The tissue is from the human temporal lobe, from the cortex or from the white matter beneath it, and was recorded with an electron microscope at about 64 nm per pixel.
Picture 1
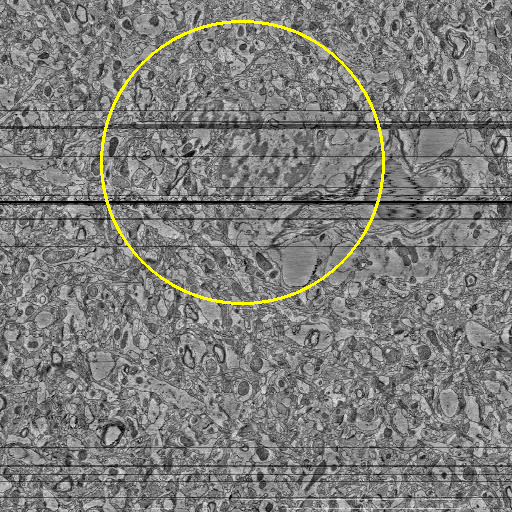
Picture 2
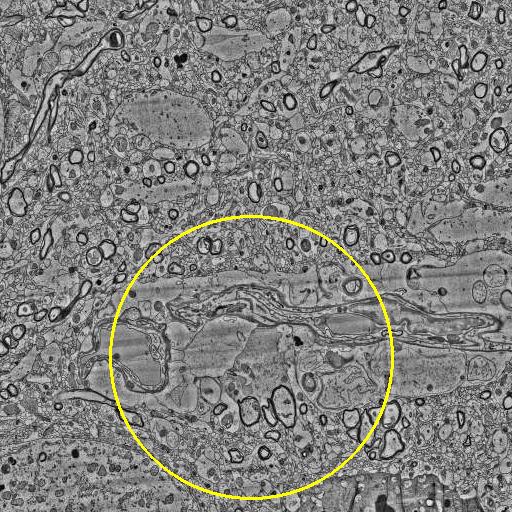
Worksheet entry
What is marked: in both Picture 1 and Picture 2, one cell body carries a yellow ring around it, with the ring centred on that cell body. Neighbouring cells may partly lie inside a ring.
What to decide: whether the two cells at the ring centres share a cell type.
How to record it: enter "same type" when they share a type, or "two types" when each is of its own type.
same type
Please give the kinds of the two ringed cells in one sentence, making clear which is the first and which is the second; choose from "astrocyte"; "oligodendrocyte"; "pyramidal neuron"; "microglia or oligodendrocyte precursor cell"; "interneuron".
The cell at the ring centre is an oligodendrocyte in both pictures.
